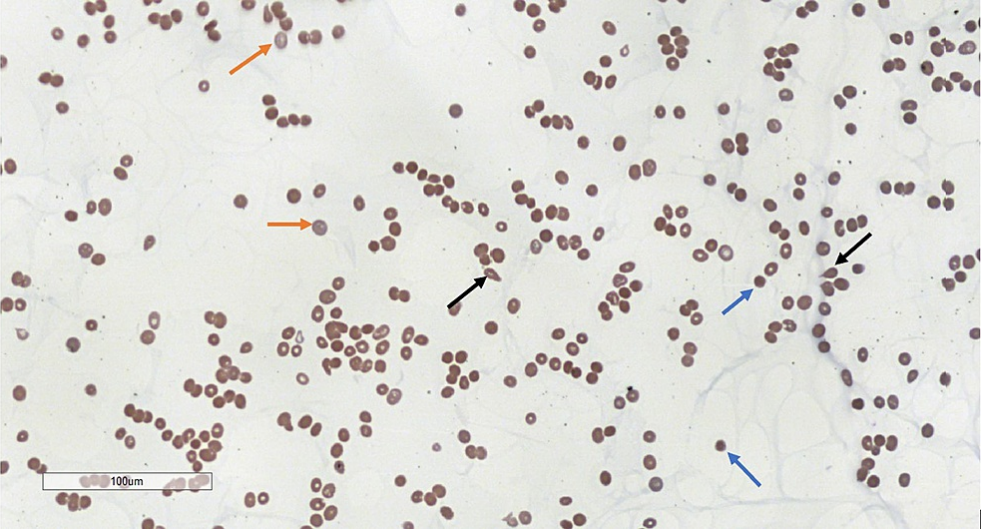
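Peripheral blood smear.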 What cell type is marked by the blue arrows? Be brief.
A: Spherocytes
